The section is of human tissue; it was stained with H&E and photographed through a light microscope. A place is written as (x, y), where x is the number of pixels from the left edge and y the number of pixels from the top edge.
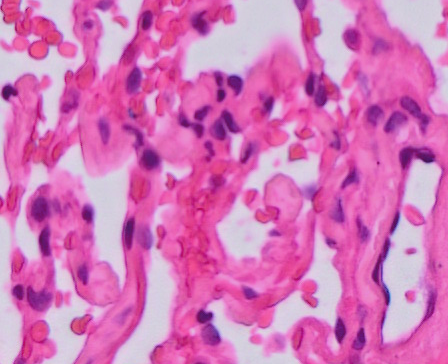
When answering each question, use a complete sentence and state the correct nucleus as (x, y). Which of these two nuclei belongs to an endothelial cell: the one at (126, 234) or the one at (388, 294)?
Of the two nuclei, the nucleus belonging to an endothelial cell is located at (388, 294).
